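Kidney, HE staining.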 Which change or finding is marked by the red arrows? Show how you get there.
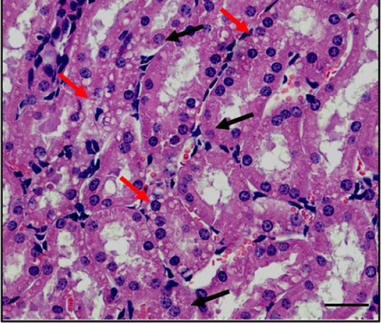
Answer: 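Tubular epithelial cells at the red arrows show clear round spaces in the cytoplasm.
Answer: vacuolar degeneration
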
